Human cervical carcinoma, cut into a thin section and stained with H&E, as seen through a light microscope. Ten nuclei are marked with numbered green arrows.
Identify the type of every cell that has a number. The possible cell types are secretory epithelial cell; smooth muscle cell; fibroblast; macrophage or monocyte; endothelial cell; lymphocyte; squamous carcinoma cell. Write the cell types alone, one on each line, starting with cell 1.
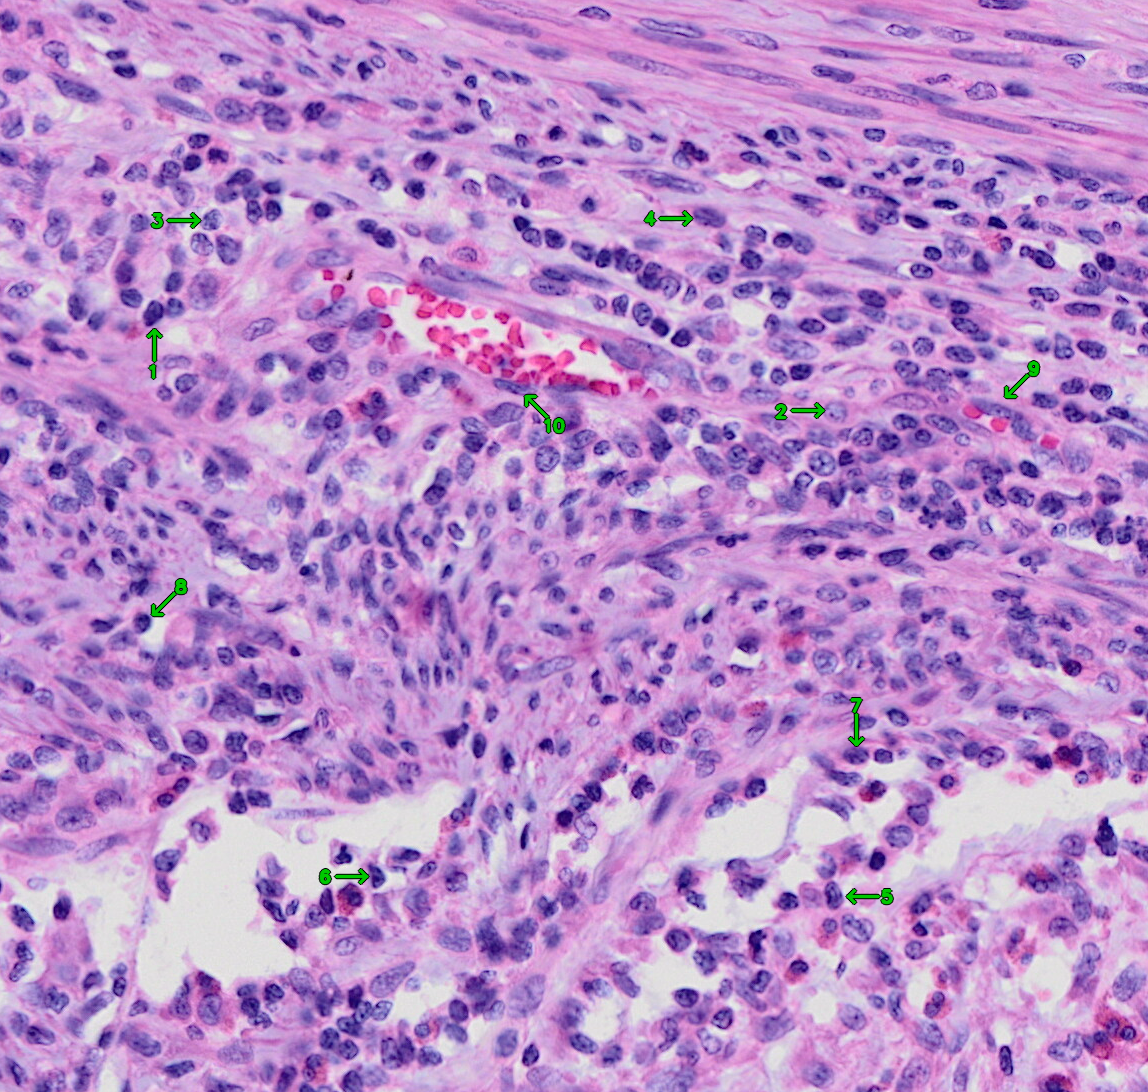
lymphocyte
endothelial cell
lymphocyte
macrophage or monocyte
lymphocyte
lymphocyte
lymphocyte
lymphocyte
endothelial cell
endothelial cell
